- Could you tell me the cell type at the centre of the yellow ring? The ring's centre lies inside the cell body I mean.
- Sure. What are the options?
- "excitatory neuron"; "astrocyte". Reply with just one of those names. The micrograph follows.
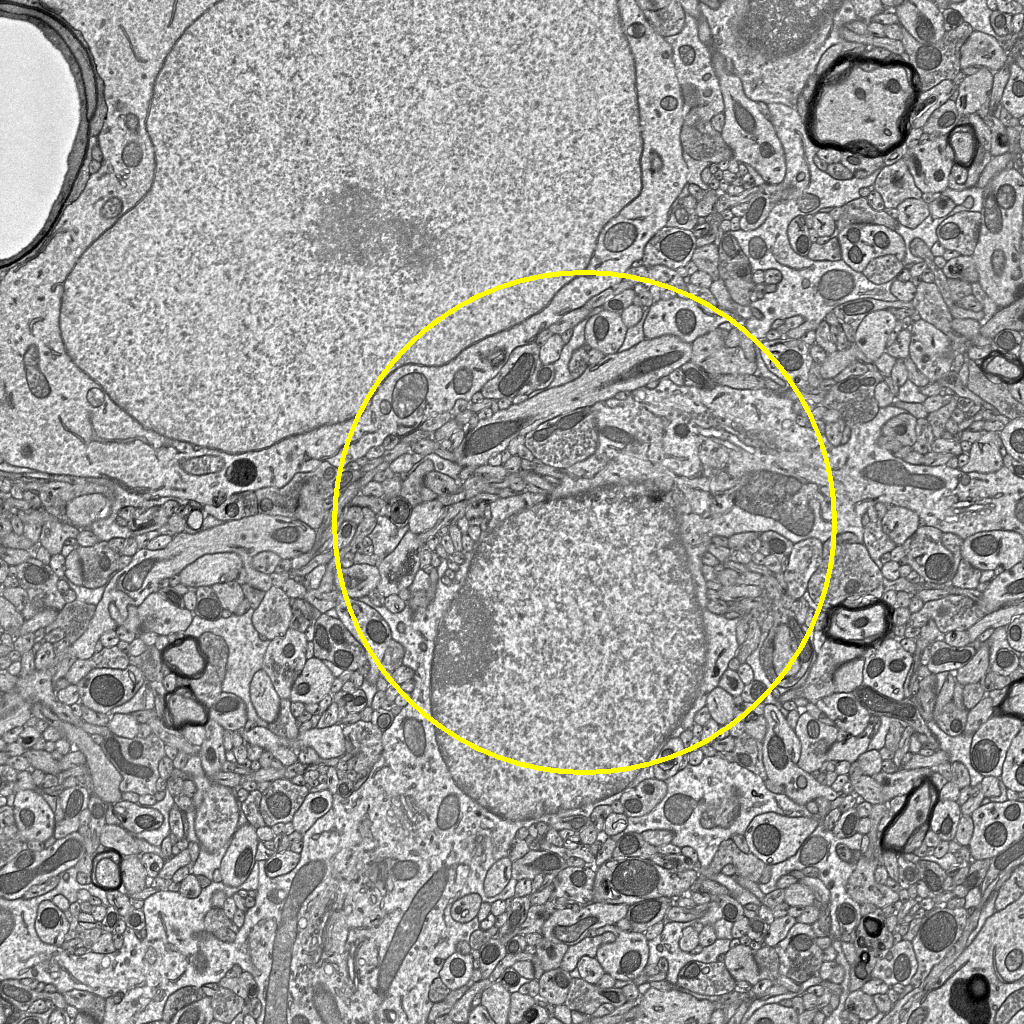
astrocyte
